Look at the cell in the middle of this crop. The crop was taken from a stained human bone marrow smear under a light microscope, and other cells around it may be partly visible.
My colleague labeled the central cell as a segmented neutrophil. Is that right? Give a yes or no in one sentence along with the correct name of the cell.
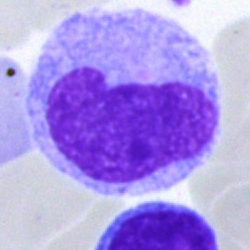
No, the central cell qualifies as a monocyte rather than as a segmented neutrophil.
